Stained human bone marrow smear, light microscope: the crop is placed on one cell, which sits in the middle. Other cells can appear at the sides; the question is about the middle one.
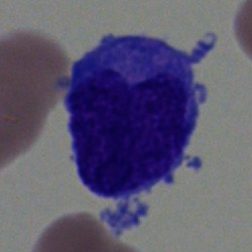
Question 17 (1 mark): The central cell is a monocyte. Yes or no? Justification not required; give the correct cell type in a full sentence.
No, it is a blast rather than a monocyte that the middle of the crop contains.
